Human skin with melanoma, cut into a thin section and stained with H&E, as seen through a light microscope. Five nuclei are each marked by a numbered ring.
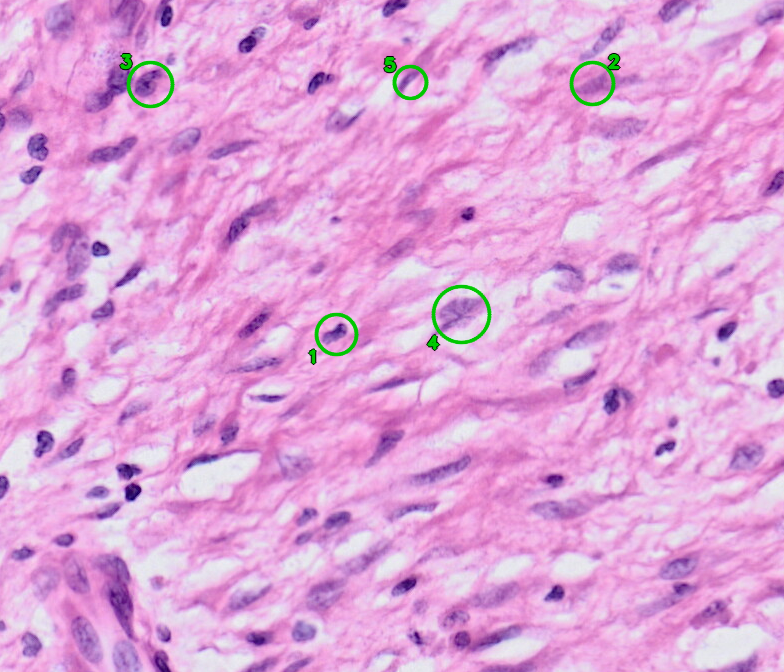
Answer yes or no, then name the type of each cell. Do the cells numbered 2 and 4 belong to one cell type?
Yes, the two cells, 2 and 4, are both fibroblasts or myofibroblasts.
